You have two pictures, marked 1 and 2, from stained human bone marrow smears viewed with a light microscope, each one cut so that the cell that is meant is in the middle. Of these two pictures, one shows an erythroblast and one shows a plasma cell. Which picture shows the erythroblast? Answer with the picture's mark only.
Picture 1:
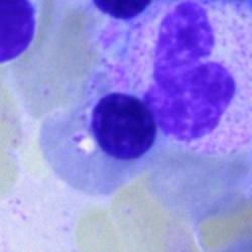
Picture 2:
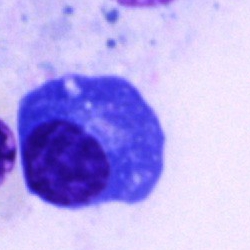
1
